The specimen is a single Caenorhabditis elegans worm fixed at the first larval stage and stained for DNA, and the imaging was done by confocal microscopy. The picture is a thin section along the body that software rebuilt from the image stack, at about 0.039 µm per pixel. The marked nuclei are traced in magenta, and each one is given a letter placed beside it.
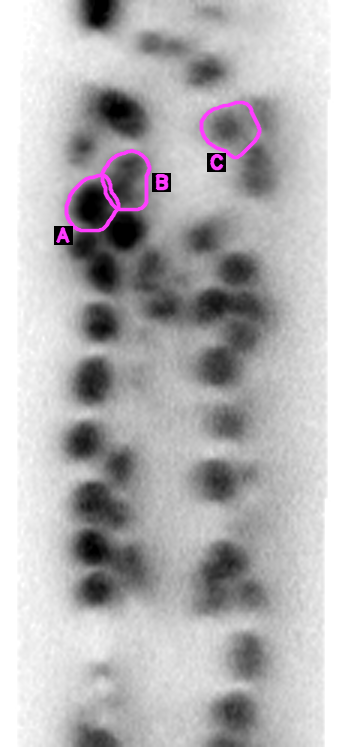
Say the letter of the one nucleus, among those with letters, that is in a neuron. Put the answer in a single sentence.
A is the nucleus of a neuron.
